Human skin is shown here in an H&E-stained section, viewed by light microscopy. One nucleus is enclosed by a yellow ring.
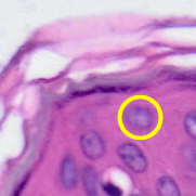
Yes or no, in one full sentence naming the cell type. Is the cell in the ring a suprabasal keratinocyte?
Yes, it is a suprabasal keratinocyte that the cell in the ring represents in this section.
